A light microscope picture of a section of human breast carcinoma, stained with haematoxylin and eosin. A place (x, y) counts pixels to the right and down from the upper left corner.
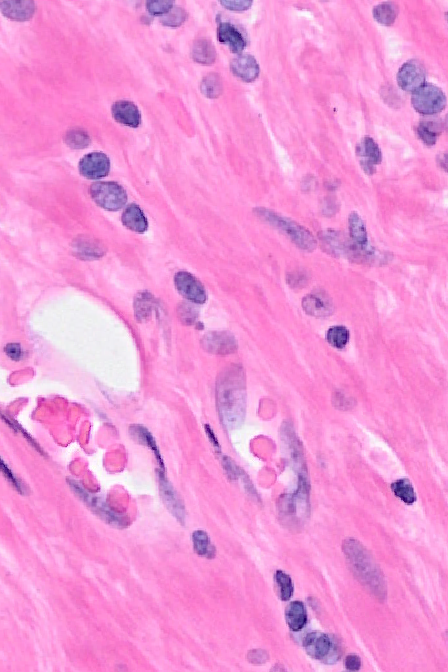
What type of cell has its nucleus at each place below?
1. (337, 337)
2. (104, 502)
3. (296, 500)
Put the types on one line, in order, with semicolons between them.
lymphocyte; endothelial cell; endothelial cell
